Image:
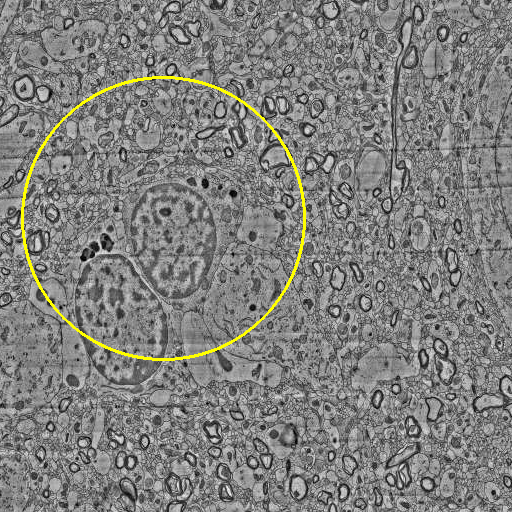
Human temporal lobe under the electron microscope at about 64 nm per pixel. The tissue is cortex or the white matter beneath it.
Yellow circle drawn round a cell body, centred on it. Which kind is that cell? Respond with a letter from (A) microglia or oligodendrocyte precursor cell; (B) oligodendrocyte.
B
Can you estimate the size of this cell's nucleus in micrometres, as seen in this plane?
The nucleus has a long axis of about 7 micrometres and a short axis of about 5 micrometres in this plane.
